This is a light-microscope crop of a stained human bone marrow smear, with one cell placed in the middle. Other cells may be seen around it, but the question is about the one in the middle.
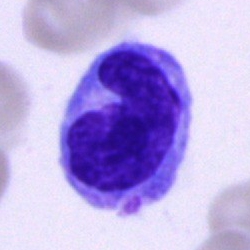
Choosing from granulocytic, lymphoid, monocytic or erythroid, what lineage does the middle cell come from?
monocytic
